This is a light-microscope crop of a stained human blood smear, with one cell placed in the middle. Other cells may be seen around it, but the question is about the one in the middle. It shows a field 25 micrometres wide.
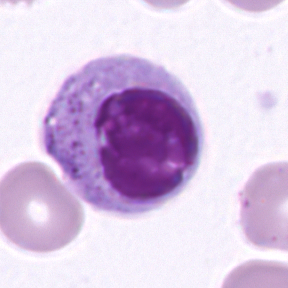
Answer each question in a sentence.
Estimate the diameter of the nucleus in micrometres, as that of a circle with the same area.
About 9 micrometres: that is the diameter of the nucleus.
